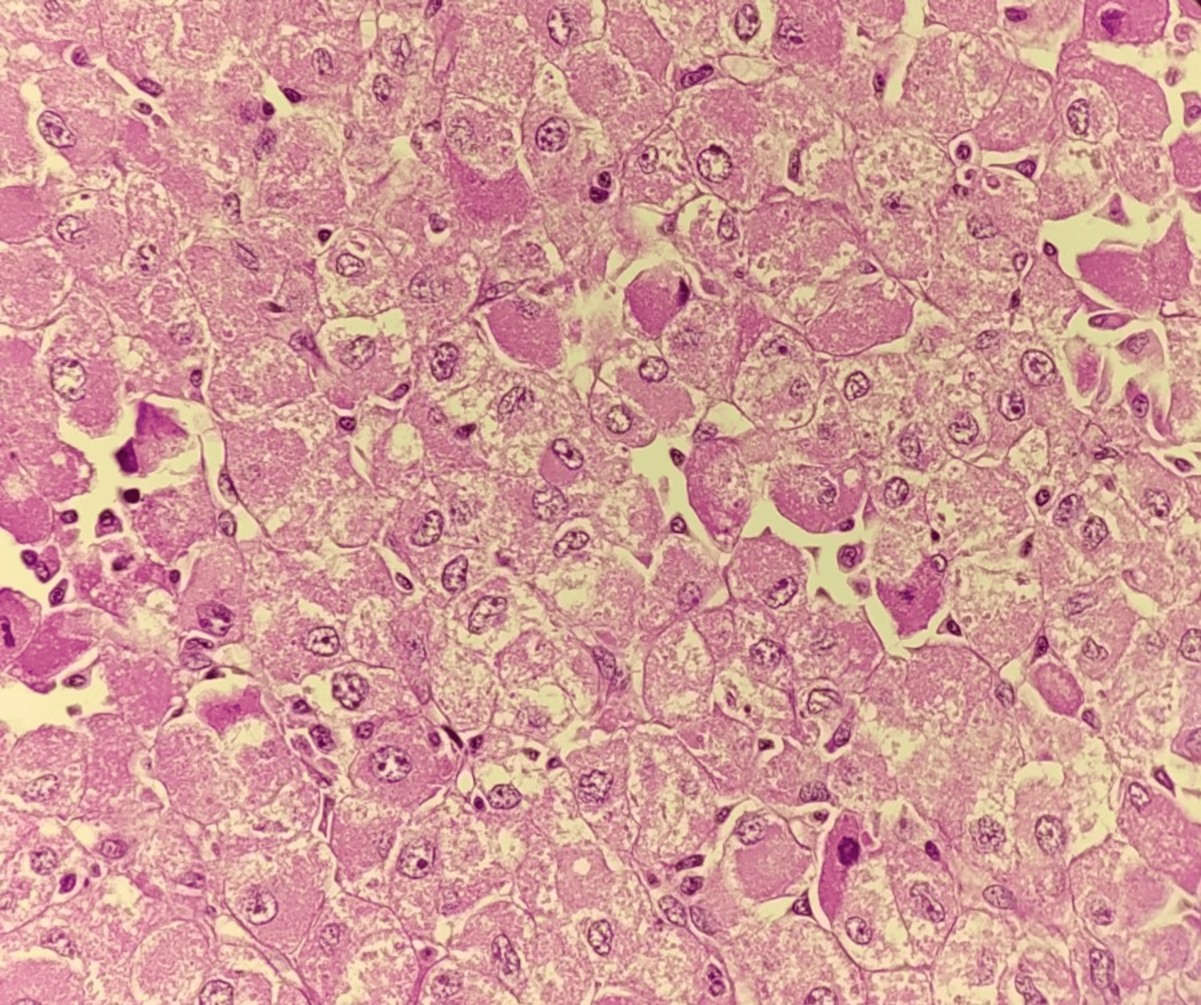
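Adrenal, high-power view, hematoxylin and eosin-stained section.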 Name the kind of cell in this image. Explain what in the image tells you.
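Large polygonal cells with well-defined cell borders fill the field. Each cell has abundant pink, finely granular cytoplasm. Nuclei are round and small relative to the cell size. On this evidence: oncocytic cells.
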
